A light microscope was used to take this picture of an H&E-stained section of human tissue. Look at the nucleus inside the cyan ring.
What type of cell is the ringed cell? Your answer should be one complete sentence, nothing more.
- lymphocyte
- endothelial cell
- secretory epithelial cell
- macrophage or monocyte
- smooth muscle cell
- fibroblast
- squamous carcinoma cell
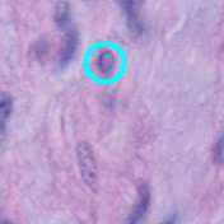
In this field of tissue, the ringed cell is a smooth muscle cell.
